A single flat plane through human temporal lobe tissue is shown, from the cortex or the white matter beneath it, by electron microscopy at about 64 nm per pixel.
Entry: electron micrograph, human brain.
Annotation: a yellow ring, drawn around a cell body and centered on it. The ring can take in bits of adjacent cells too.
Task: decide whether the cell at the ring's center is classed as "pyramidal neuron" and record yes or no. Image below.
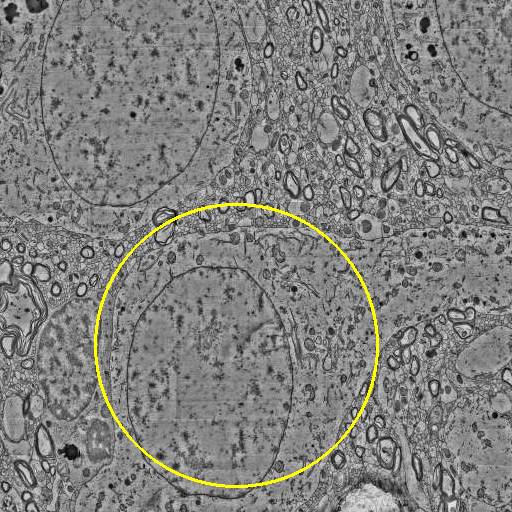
yes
